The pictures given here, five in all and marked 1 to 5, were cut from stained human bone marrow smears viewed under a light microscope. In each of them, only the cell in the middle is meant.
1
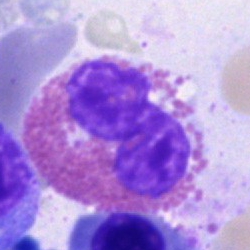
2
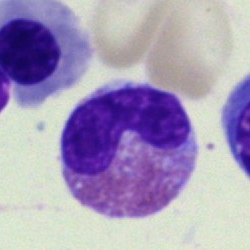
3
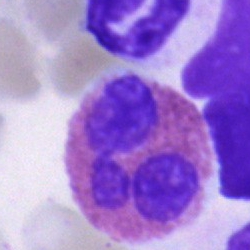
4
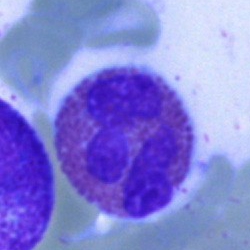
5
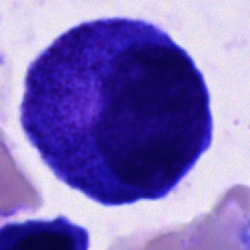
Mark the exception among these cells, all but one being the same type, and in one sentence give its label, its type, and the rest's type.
Crop 5 is the one to flag: it is a promyelocyte, and the rest show eosinophils.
